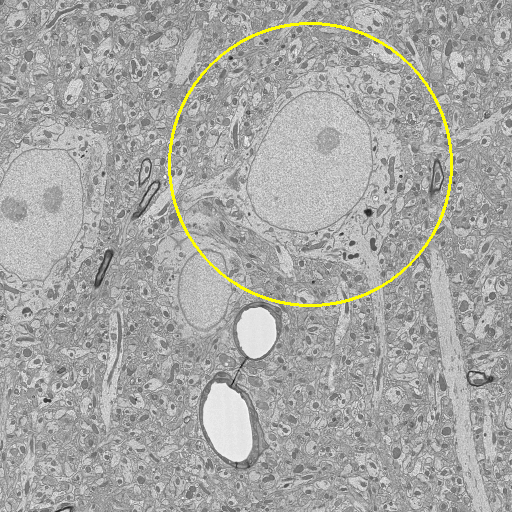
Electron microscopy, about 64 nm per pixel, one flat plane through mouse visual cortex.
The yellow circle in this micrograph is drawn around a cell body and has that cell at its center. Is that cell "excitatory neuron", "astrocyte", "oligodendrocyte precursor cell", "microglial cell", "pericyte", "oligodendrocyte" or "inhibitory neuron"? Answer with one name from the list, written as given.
excitatory neuron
